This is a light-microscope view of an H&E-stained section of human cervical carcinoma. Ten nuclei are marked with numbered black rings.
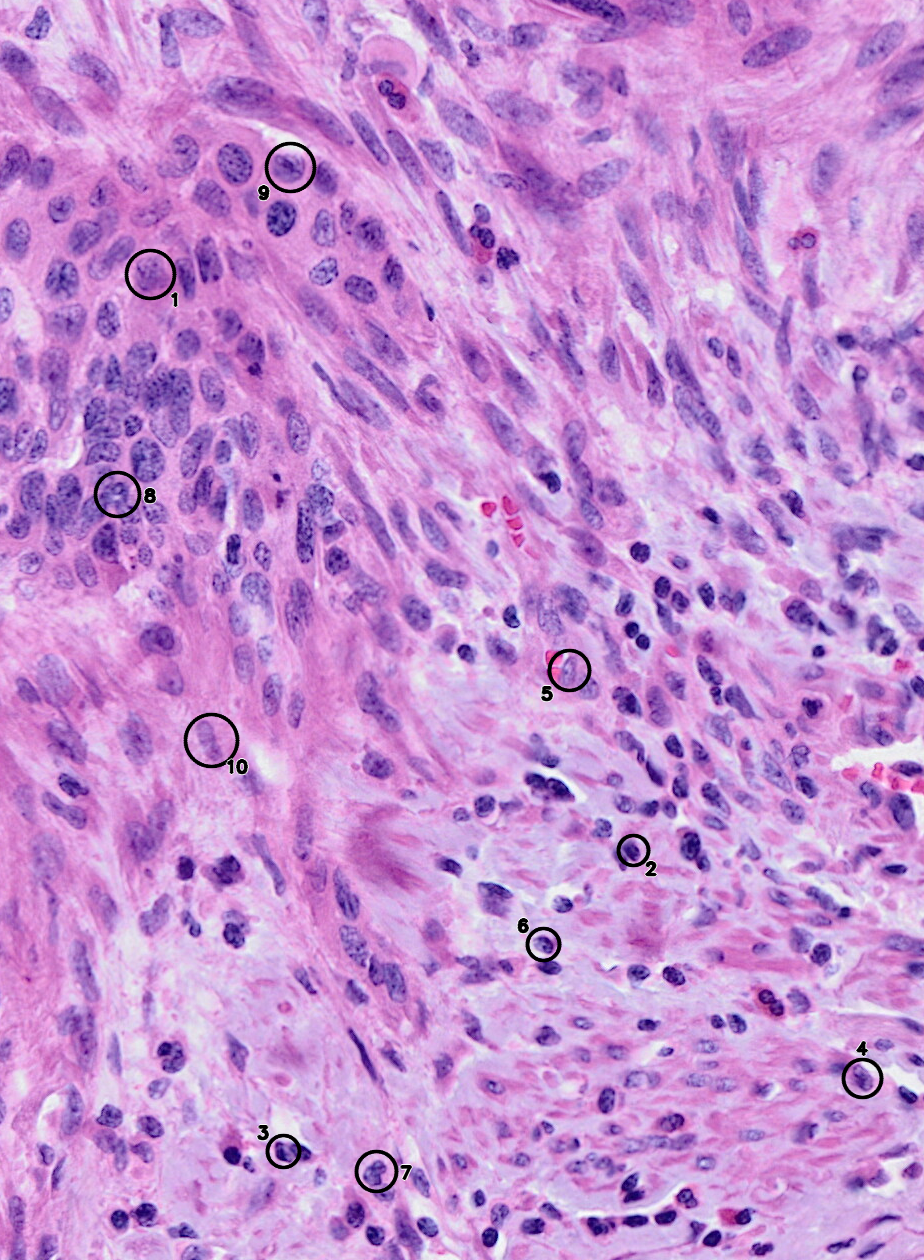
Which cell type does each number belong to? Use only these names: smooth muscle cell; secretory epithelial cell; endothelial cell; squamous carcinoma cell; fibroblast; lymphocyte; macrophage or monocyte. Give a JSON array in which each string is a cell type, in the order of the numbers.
["squamous carcinoma cell", "lymphocyte", "lymphocyte", "macrophage or monocyte", "endothelial cell", "lymphocyte", "lymphocyte", "squamous carcinoma cell", "squamous carcinoma cell", "fibroblast"]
